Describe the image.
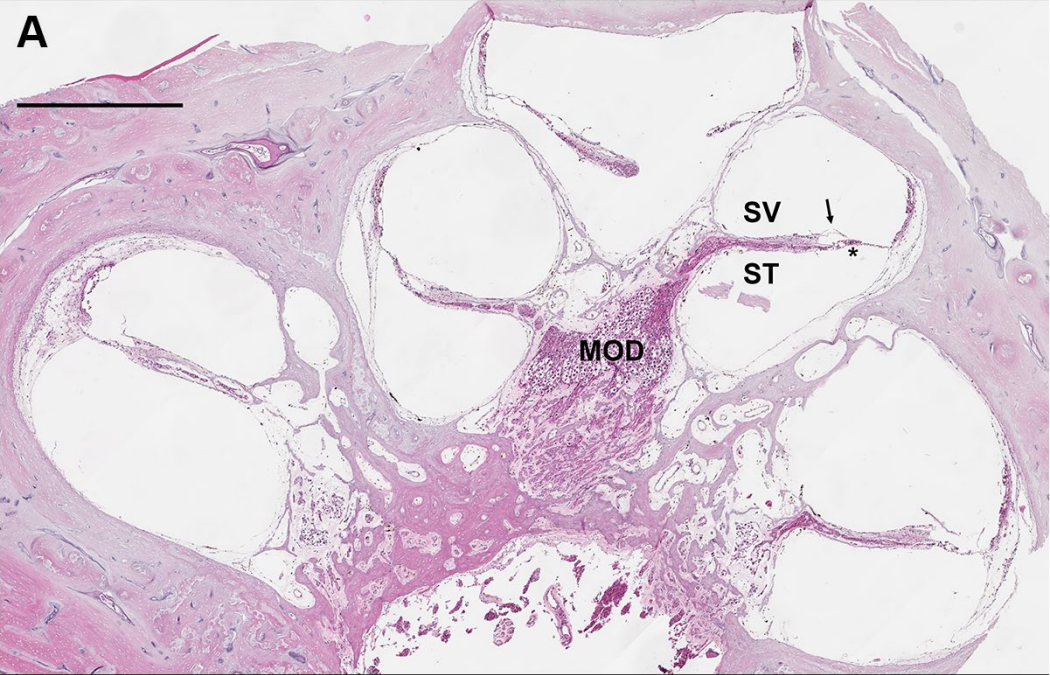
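A section through the cochlea shows several turns cut as rounded spaces on either side of a central bony core, which holds clusters of purple nerve cell bodies and pink nerve fibres. Pink lamellar bone with scattered small nuclei surrounds the turns.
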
